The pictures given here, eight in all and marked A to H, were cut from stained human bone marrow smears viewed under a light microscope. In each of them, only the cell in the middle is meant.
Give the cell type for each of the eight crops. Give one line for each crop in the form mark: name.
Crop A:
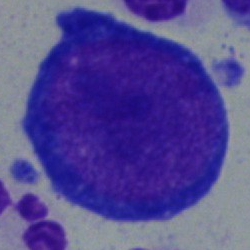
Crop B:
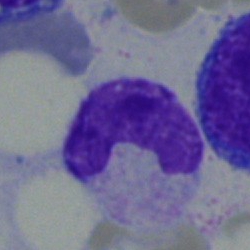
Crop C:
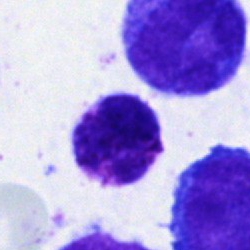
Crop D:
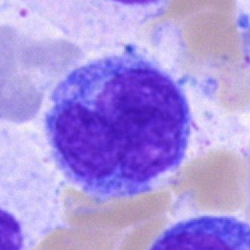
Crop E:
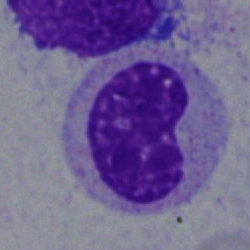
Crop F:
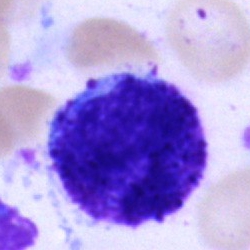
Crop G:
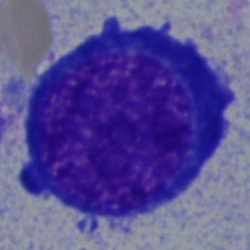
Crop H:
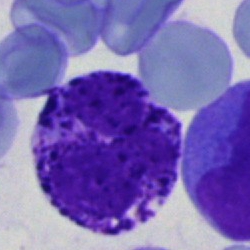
A: proerythroblast
B: band neutrophil
C: basophil
D: monocyte
E: metamyelocyte
F: basophil
G: proerythroblast
H: basophil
